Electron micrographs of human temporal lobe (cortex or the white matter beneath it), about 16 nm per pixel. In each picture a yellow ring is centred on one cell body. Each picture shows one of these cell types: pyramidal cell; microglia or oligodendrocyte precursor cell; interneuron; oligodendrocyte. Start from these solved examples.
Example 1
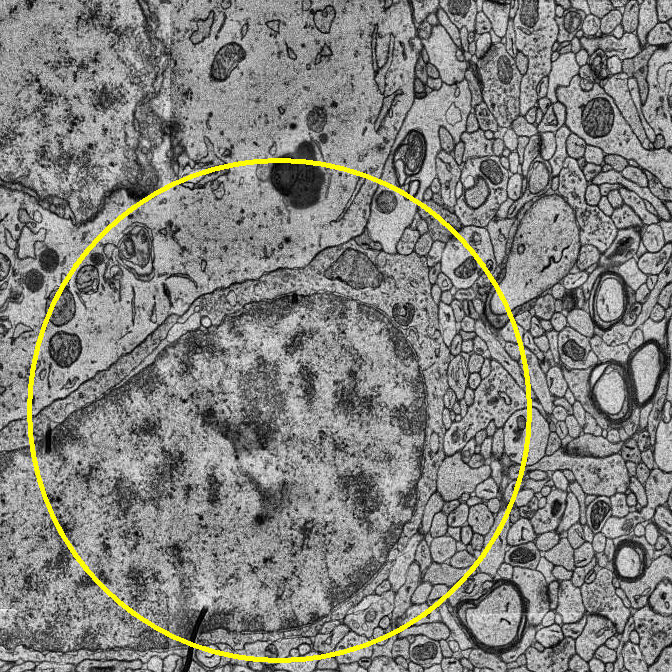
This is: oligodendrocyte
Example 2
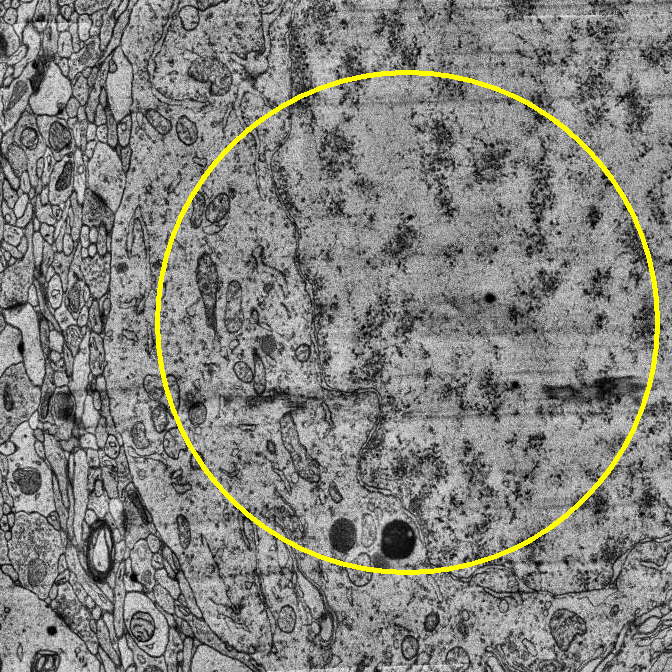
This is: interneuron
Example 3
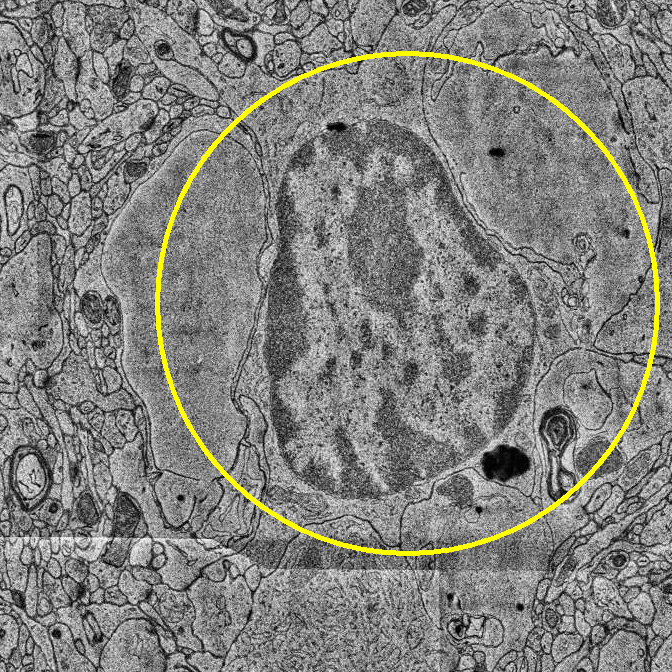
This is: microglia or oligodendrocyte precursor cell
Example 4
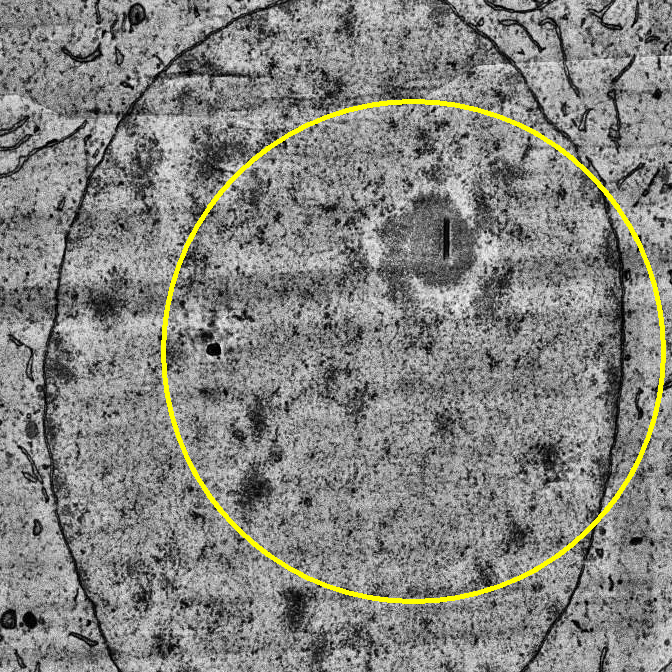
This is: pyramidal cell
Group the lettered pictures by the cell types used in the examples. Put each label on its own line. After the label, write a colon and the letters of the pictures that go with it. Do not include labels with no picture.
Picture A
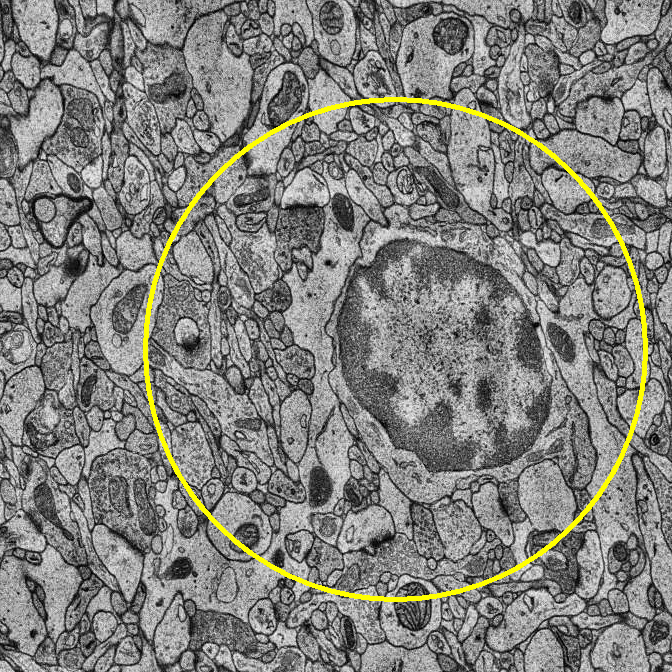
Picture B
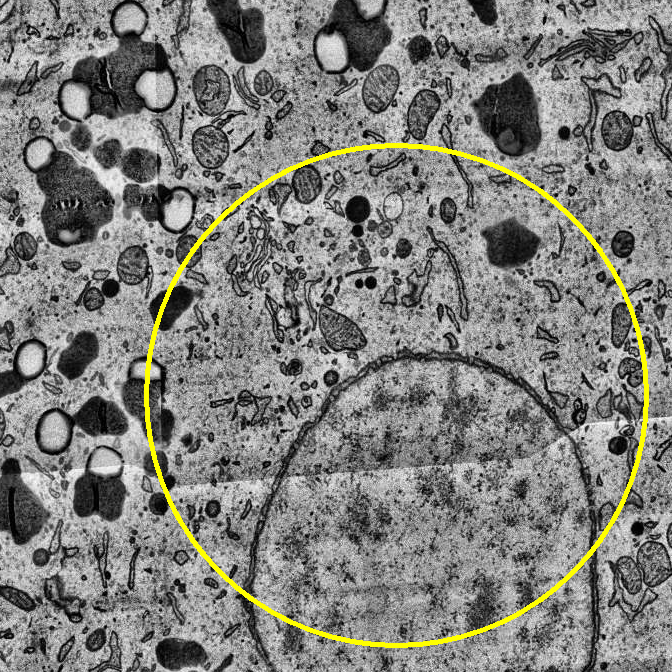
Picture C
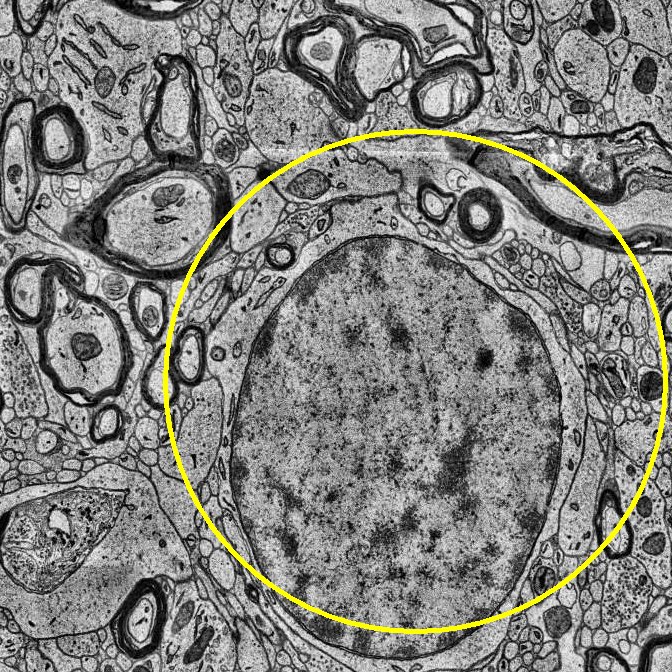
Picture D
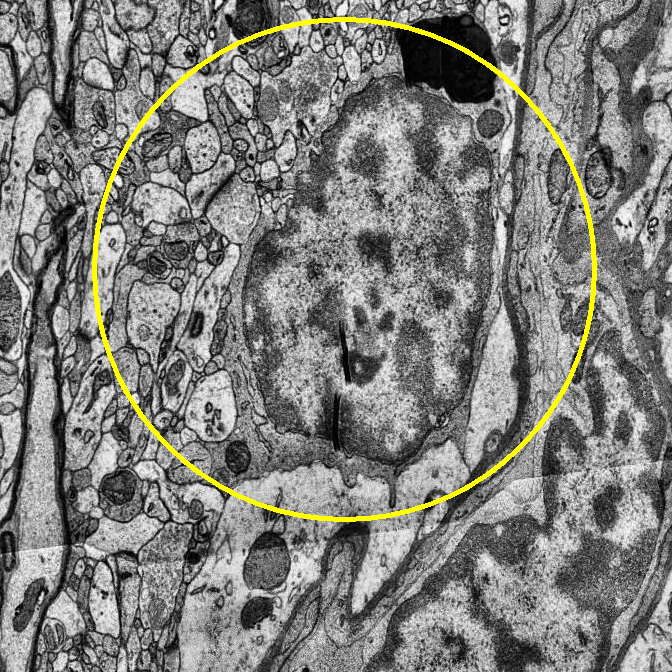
pyramidal cell: B
microglia or oligodendrocyte precursor cell: A, C
oligodendrocyte: D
